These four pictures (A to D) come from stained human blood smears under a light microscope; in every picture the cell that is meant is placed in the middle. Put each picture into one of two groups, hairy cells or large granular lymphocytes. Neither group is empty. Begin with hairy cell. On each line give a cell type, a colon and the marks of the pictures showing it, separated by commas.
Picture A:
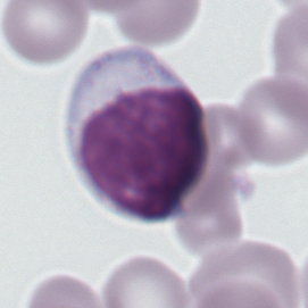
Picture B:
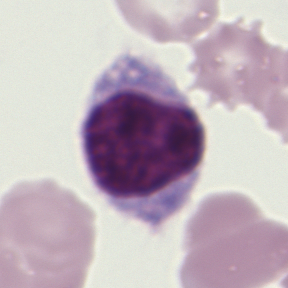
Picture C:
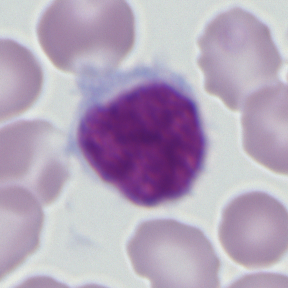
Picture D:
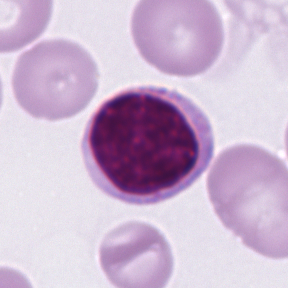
hairy cell: B, C
large granular lymphocyte: A, D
